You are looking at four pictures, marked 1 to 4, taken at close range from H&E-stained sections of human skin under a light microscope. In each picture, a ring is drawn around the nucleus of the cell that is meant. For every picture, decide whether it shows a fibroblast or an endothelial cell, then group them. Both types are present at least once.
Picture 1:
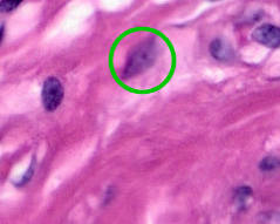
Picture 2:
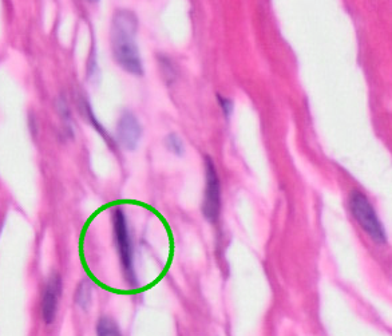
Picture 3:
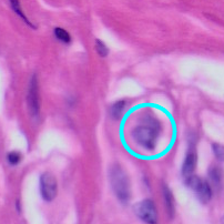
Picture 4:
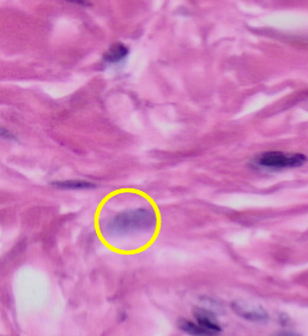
1: fibroblast
2: endothelial cell
3: endothelial cell
4: fibroblast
